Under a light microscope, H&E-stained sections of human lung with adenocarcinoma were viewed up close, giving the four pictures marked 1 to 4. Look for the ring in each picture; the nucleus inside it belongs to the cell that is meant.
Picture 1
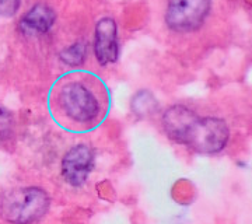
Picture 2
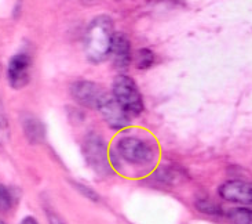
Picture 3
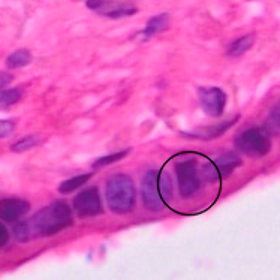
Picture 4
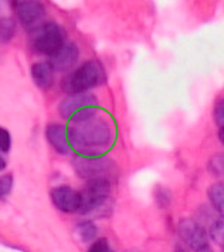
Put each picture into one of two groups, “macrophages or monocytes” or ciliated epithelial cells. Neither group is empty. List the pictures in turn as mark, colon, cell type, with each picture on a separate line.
1: macrophage or monocyte
2: ciliated epithelial cell
3: ciliated epithelial cell
4: ciliated epithelial cell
